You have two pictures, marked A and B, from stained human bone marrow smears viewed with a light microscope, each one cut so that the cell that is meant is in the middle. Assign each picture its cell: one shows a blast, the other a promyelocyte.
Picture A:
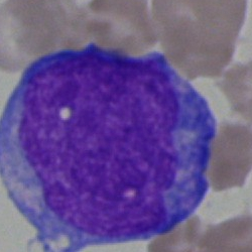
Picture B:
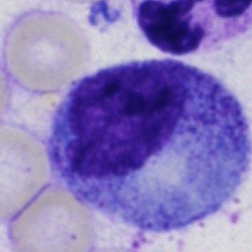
A: blast
B: promyelocyte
